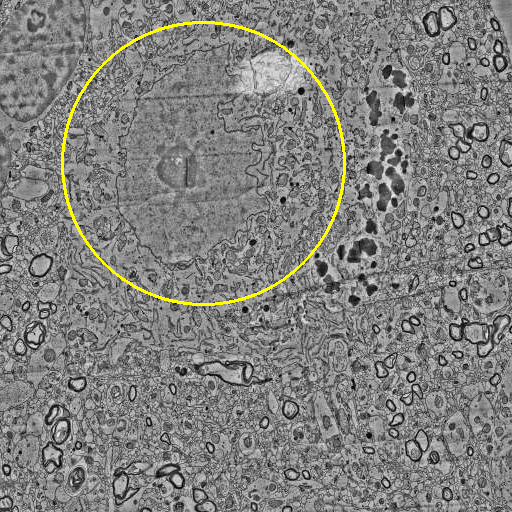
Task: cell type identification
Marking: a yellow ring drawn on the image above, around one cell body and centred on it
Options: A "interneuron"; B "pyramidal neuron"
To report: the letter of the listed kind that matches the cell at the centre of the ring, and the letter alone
B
